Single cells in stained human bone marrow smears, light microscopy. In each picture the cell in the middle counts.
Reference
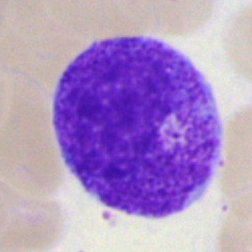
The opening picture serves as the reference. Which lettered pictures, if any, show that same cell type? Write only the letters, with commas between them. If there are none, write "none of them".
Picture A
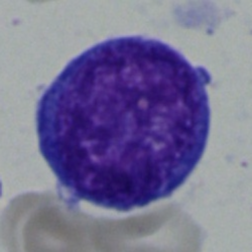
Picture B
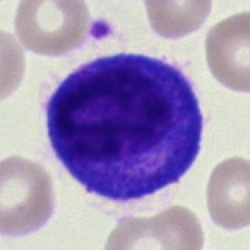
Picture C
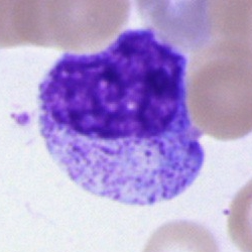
A, B, C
